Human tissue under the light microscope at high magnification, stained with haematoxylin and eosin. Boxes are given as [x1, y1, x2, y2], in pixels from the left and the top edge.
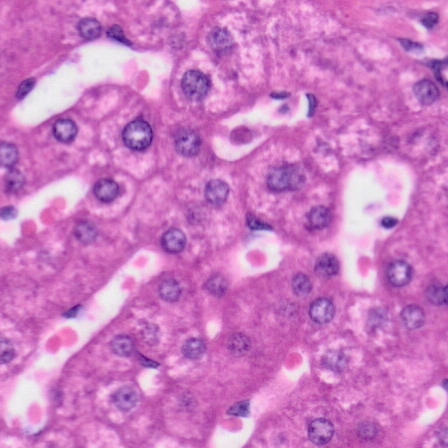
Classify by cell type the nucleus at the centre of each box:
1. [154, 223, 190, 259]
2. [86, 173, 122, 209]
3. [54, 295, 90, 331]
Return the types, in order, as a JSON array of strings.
["hepatocyte", "hepatocyte", "endothelial cell"]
